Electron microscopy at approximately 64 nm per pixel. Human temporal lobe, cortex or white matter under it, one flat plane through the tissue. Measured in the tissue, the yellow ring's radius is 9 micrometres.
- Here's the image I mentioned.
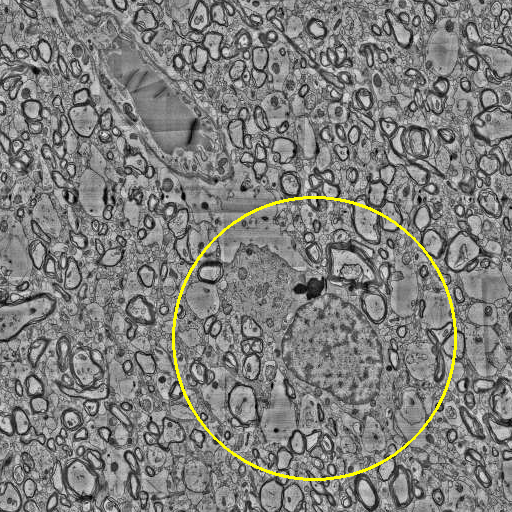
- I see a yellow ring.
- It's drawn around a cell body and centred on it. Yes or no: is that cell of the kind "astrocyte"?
no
